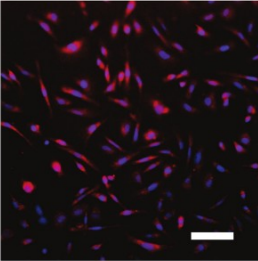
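Cultured cells at moderate density, spread singly across the field without forming sheets. Most are elongated and spindle-shaped with tapering ends; a few are shorter and more polygonal. Each has one oval blue nucleus, roughly central. Red staining fills the cytoplasm along the length of each cell and is brightest around and over the nucleus, so nuclei appear purple where red and blue overlap. Cells point in varied directions with no common alignment, and there is dark empty background between them.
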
